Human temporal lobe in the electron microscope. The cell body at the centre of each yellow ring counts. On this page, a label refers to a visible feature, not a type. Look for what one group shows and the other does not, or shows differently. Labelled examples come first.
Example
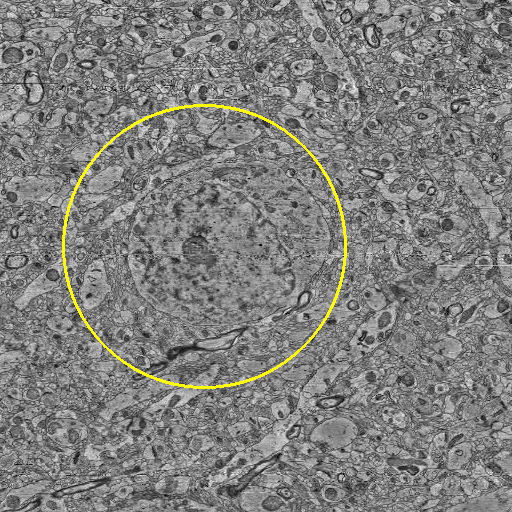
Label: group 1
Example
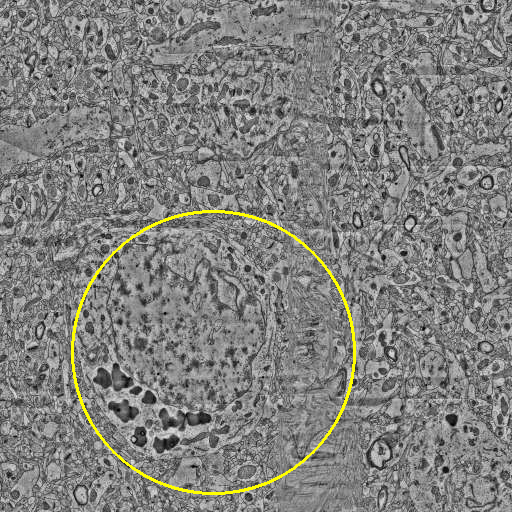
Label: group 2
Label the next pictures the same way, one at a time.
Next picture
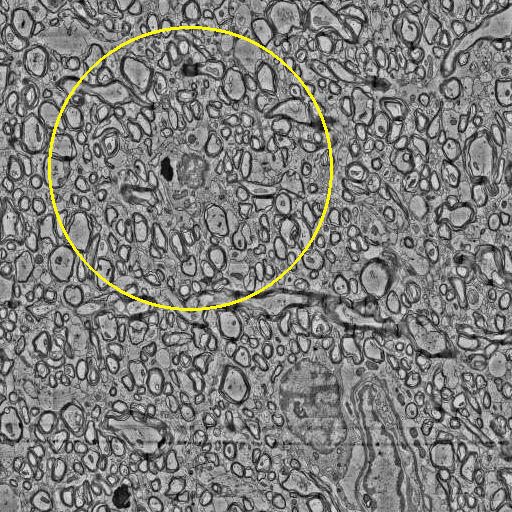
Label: group 2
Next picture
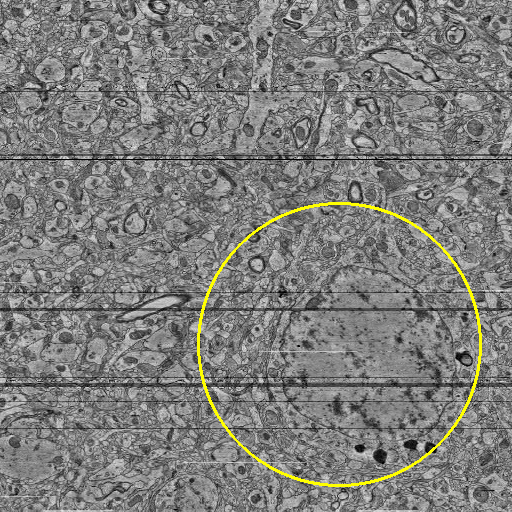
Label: group 2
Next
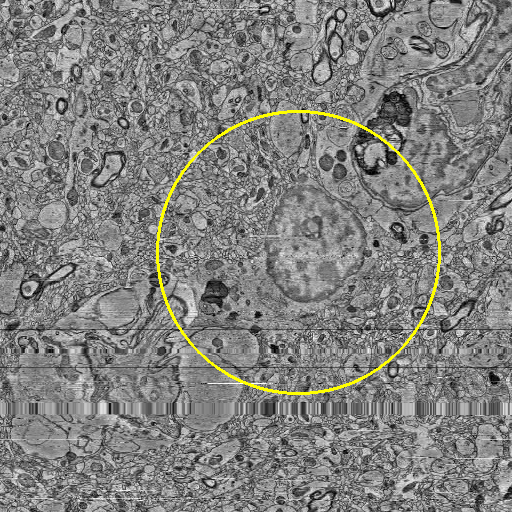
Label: group 1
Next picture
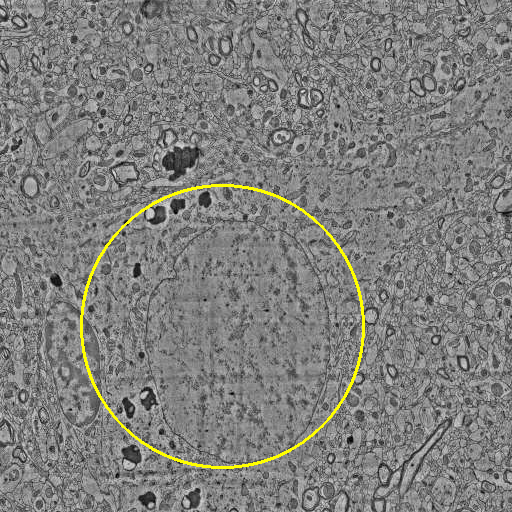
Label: group 2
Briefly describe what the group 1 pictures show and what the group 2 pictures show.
In group 1: nucleolus seen. In group 2: no nucleolus seen.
